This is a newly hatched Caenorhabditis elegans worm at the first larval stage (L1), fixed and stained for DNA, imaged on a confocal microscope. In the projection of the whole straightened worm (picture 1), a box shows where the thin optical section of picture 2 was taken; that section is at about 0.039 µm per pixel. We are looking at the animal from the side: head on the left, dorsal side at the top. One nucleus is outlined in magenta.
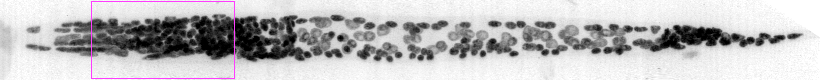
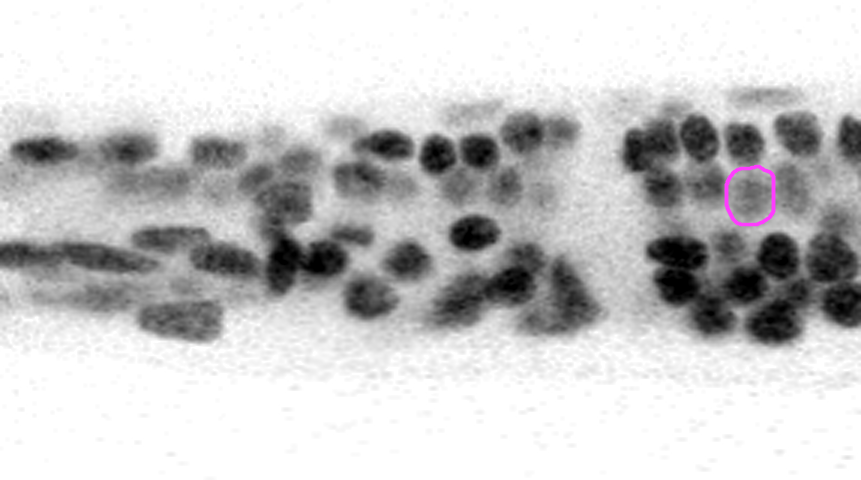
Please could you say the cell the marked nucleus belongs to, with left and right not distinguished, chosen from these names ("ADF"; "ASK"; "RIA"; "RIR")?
ADF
